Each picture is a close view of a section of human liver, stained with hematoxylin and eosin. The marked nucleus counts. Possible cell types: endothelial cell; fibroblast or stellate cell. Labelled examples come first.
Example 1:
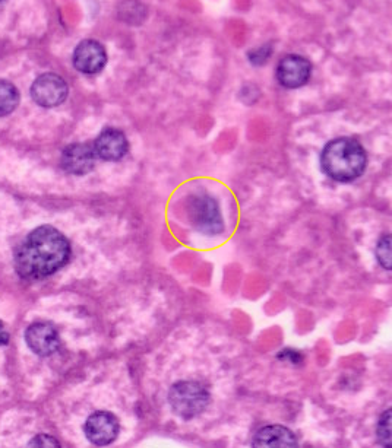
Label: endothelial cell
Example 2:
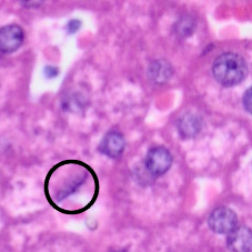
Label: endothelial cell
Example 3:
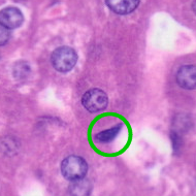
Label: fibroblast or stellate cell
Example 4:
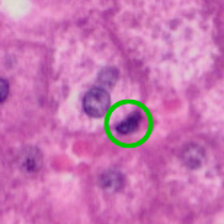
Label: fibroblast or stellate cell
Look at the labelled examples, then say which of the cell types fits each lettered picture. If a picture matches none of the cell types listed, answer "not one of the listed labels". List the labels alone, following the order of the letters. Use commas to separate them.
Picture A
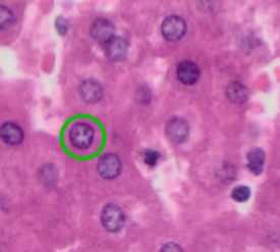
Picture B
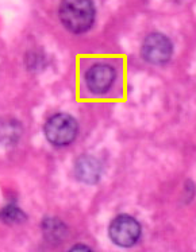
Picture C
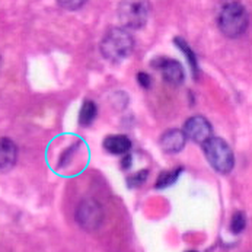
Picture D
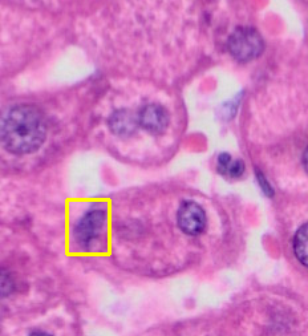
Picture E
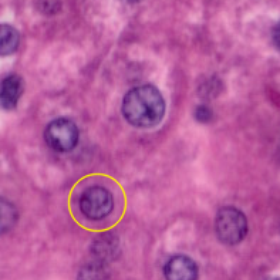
not one of the listed labels, not one of the listed labels, fibroblast or stellate cell, fibroblast or stellate cell, not one of the listed labels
